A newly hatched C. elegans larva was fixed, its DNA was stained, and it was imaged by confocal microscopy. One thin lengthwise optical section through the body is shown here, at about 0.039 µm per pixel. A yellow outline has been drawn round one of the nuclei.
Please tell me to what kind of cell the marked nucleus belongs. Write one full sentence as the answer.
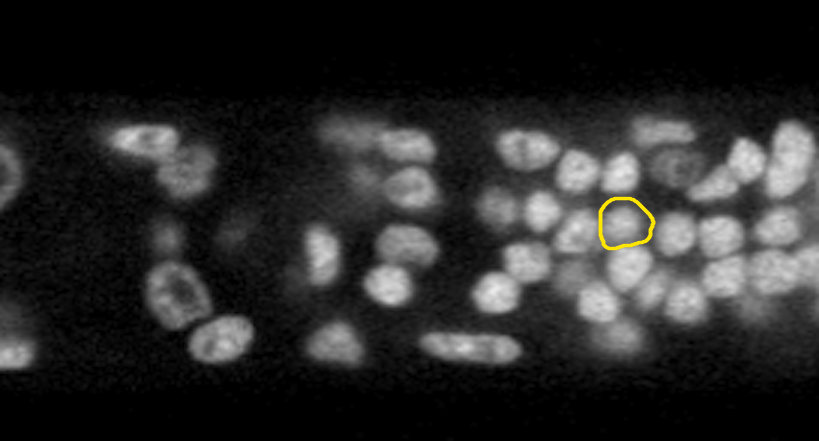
The nucleus comes from a neuron.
